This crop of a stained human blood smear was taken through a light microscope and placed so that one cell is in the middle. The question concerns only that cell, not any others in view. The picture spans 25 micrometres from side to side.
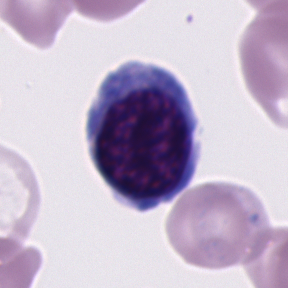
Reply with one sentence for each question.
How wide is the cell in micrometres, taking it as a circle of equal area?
The diameter of the cell comes to about 11 micrometres.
